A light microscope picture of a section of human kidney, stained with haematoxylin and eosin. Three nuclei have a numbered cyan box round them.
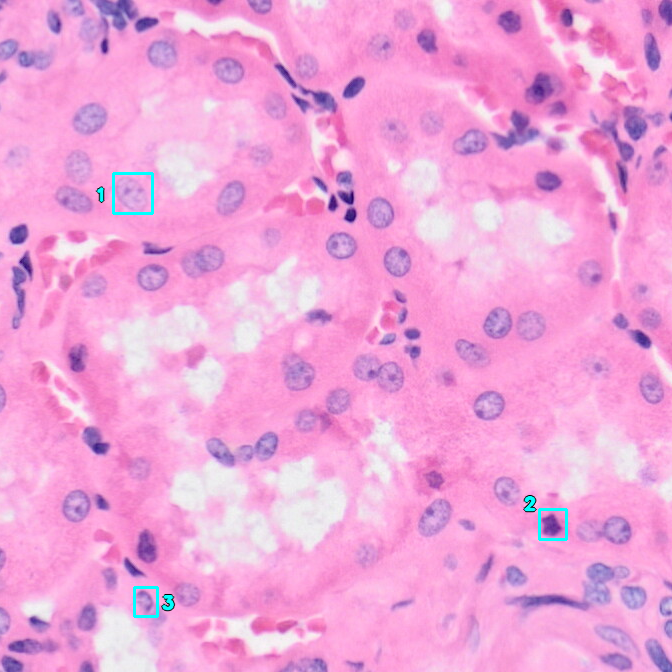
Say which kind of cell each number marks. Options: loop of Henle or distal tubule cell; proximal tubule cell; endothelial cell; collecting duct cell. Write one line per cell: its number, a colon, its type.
1: proximal tubule cell
2: proximal tubule cell
3: collecting duct cell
